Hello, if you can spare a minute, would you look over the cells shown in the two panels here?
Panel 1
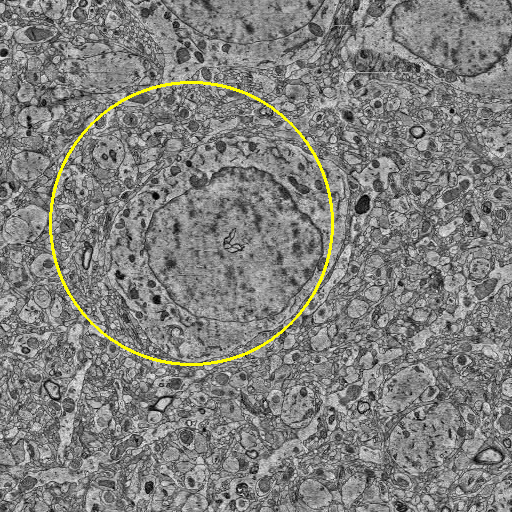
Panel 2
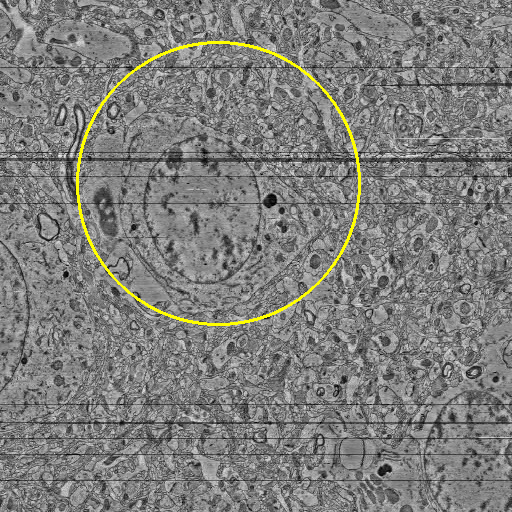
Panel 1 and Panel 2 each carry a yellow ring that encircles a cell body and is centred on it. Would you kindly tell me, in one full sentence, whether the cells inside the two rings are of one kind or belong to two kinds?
The cells at the centres of the rings in Panel 1 and Panel 2 are of one kind.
